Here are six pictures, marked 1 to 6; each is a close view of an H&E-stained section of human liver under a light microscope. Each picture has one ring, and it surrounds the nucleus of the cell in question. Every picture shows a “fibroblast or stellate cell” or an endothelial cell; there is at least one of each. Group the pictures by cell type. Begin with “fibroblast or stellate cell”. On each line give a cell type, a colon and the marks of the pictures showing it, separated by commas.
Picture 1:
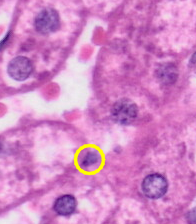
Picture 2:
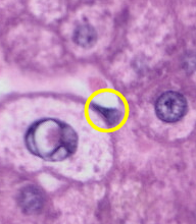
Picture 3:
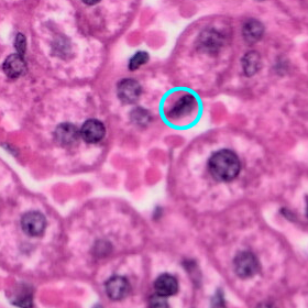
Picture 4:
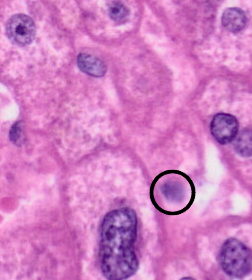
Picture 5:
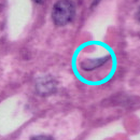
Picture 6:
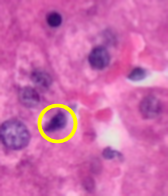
fibroblast or stellate cell: 1, 3, 6
endothelial cell: 2, 4, 5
